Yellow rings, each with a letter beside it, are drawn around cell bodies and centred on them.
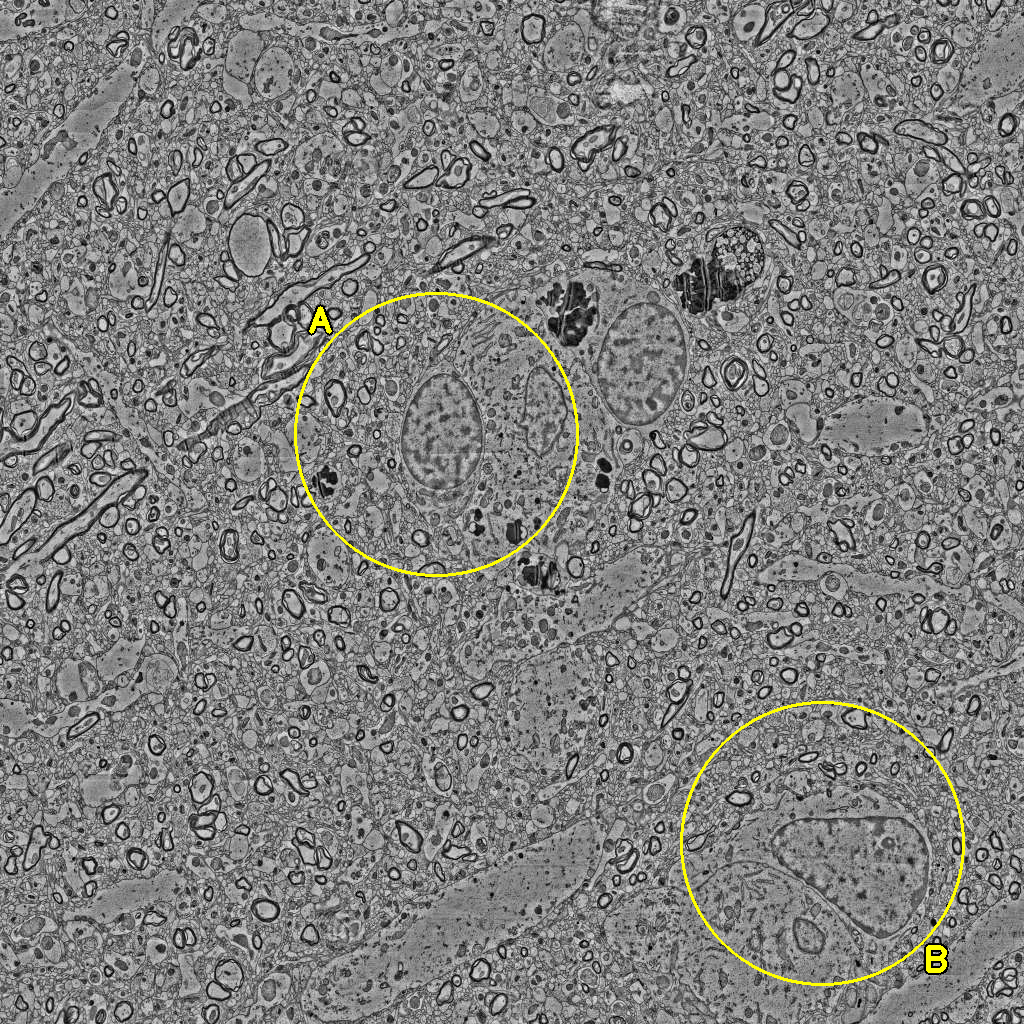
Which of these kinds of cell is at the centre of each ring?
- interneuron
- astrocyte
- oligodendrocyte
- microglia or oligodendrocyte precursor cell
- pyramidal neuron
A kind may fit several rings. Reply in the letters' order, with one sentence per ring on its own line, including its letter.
The cell in the middle of ring A is an oligodendrocyte.
The cell in the middle of ring B is a microglial cell or oligodendrocyte precursor cell.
